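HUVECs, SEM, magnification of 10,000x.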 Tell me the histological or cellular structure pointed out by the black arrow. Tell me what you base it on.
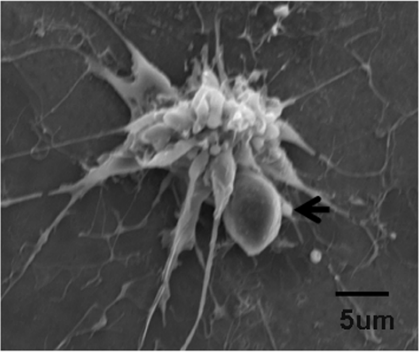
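Apoptotic body. The arrow points to a smooth, rounded body attached to the edge of a contracted cell. The cell body is small with many surface blebs and thin retracted processes.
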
